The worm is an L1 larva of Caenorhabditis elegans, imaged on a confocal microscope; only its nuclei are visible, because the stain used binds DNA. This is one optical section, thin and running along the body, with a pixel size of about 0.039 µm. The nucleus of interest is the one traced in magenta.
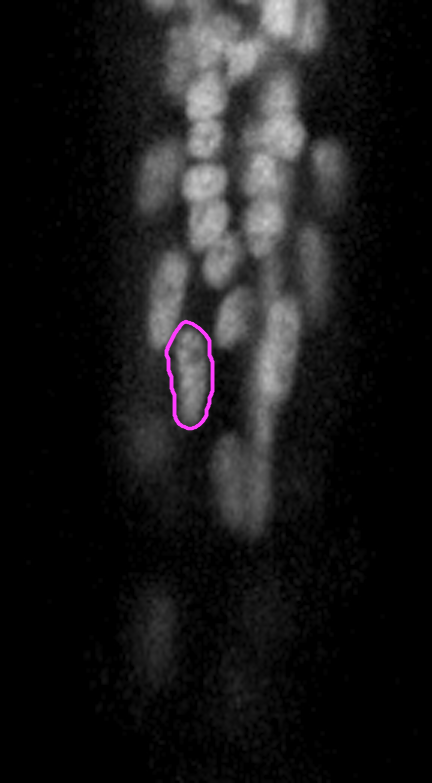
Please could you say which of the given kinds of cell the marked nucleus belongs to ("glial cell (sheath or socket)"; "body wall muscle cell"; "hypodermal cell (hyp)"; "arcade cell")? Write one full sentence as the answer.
It is the nucleus of a body wall muscle cell.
